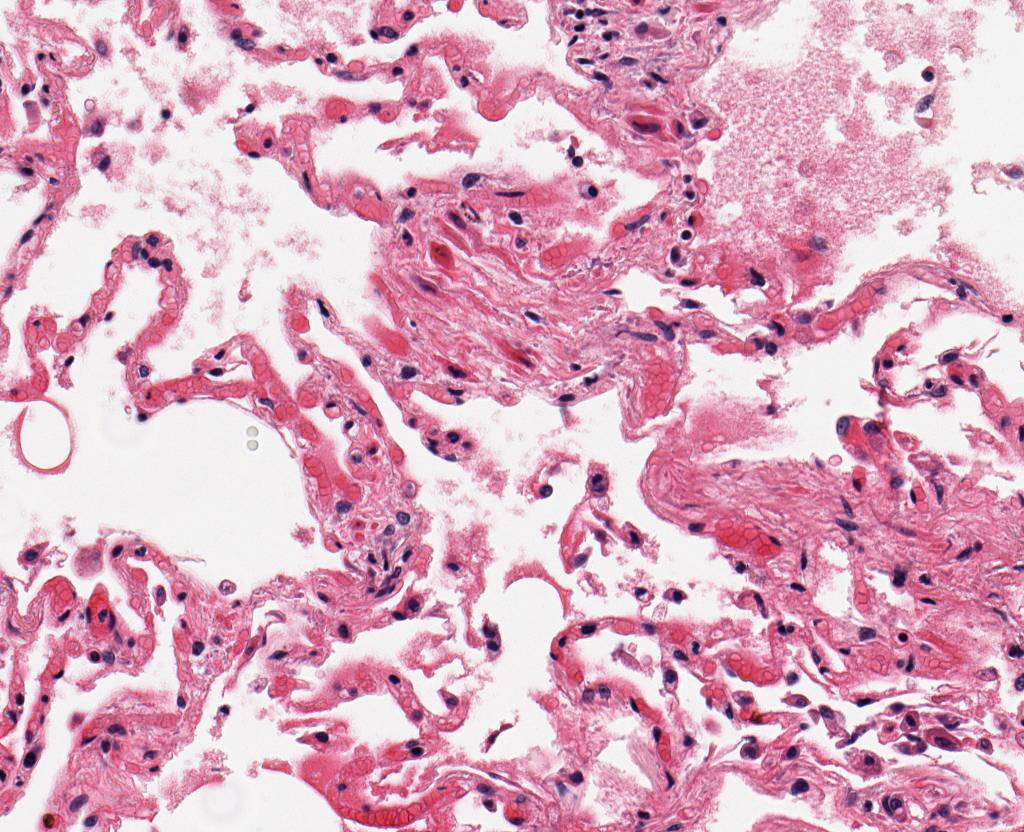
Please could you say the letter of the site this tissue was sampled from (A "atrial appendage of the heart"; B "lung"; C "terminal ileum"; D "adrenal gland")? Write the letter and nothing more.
B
